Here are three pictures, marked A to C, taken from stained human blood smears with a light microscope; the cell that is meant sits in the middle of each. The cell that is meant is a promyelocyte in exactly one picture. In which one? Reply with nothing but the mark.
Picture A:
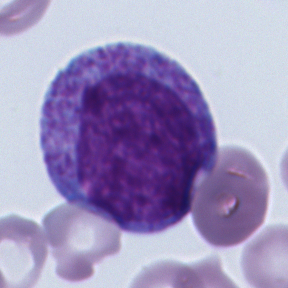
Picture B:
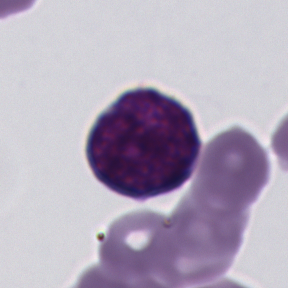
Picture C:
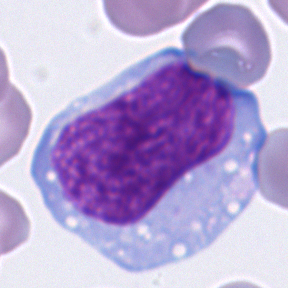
A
